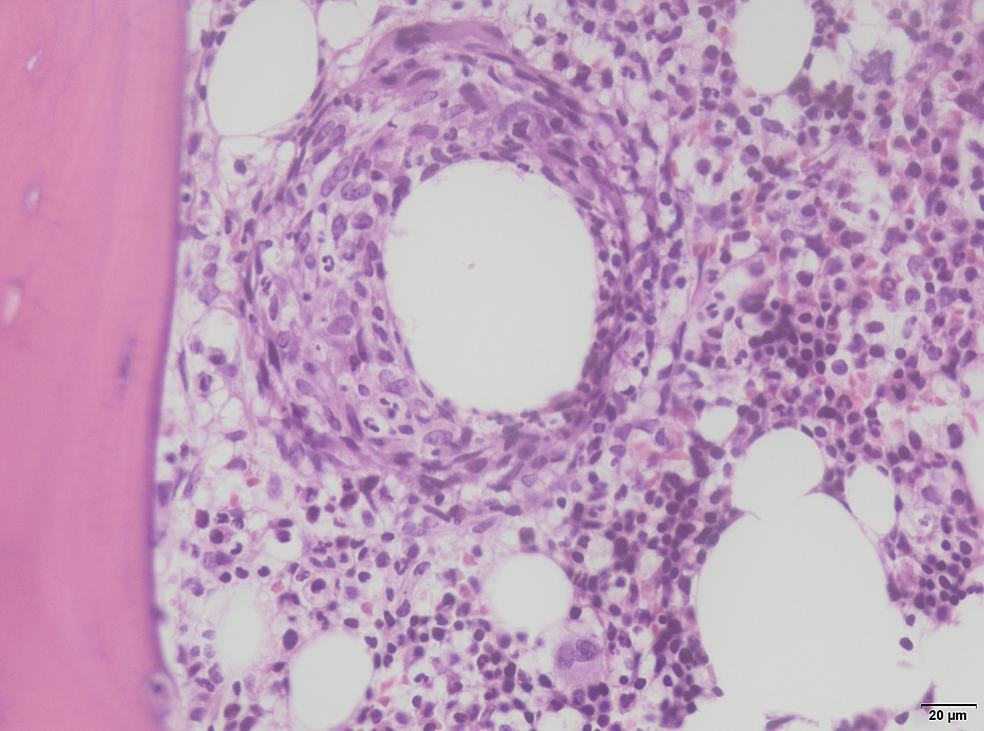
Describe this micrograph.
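The section shows bone marrow with a well-circumscribed, non-necrotizing granuloma at its center, built around a large, round, empty fatty vacuole. The vacuole is ringed by concentric layers of macrophages, which have oval to bean-shaped, pale, vesicular nuclei and ample pale pink cytoplasm. Toward the periphery, the cells of the granuloma become more elongated and spindle-shaped, giving the cluster a layered outer border. No structureless pink necrotic material is present within the granuloma. A band of dense, homogeneous pink bone lies along the left edge. The surrounding marrow is cellular, with many small, round, dark nuclei, scattered red cells and several round fat spaces.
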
